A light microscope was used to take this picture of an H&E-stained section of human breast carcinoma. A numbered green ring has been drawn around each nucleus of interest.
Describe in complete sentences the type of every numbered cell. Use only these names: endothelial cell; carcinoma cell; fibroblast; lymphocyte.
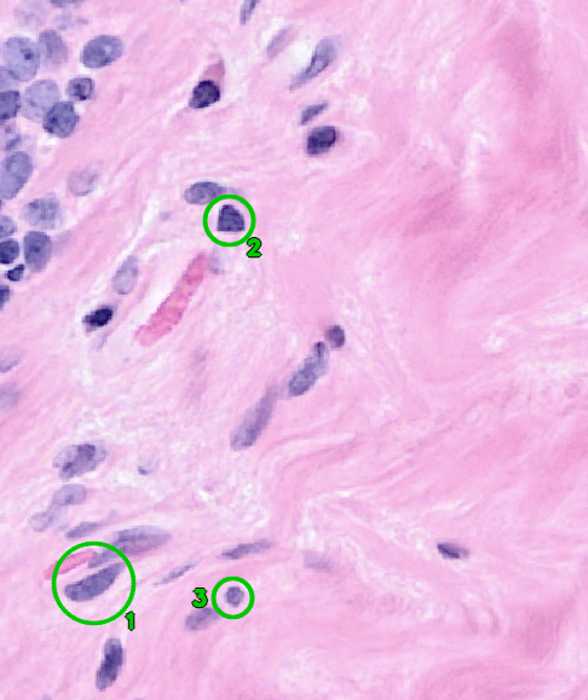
Cell 1 is an endothelial cell, cell 2 is a lymphocyte and cell 3 is a lymphocyte.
